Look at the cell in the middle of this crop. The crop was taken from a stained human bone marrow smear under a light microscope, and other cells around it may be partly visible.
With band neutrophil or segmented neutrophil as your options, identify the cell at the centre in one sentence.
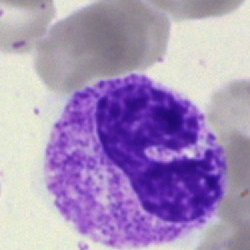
The center cell of this crop is a band neutrophil.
